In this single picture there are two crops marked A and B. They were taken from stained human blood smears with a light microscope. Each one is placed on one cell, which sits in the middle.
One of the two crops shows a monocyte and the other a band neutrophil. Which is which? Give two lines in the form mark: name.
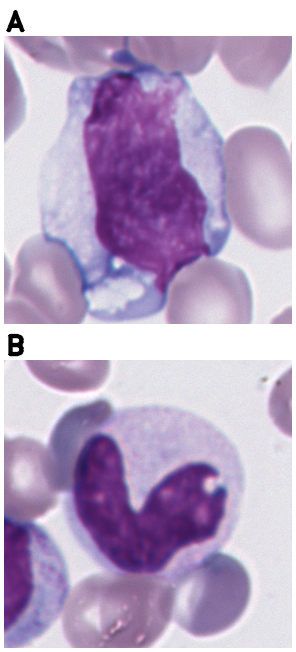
A: monocyte
B: band neutrophil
